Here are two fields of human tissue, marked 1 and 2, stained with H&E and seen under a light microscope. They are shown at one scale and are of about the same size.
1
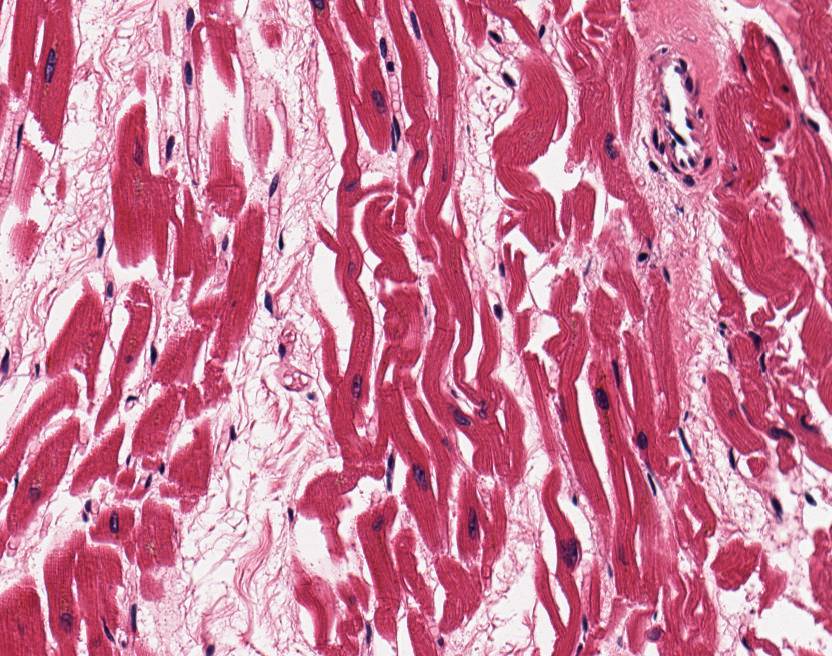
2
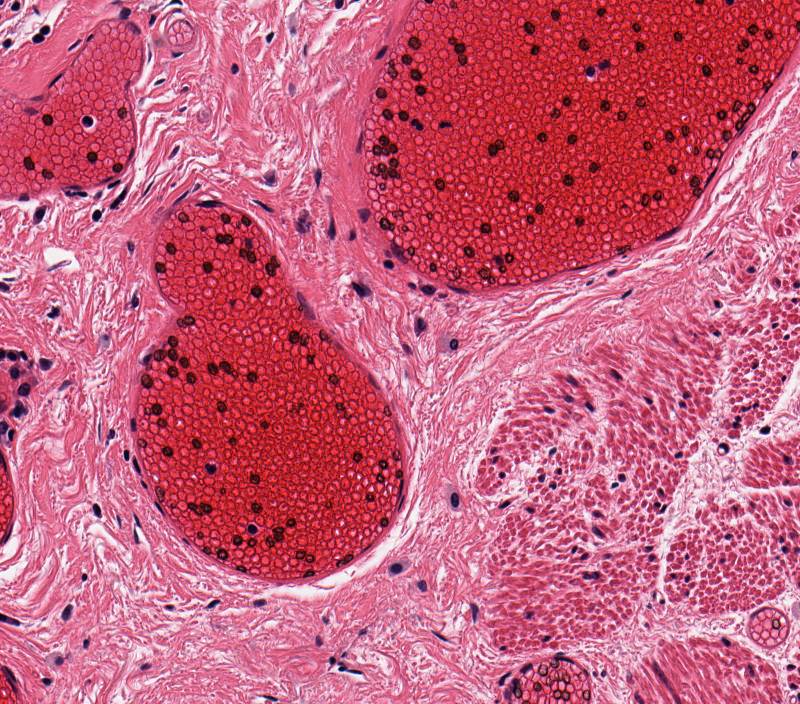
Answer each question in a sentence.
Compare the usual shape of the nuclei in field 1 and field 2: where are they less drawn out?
The nuclei are rounder in field 2.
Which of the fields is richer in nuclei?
Field 2 holds more nuclei than field 1.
